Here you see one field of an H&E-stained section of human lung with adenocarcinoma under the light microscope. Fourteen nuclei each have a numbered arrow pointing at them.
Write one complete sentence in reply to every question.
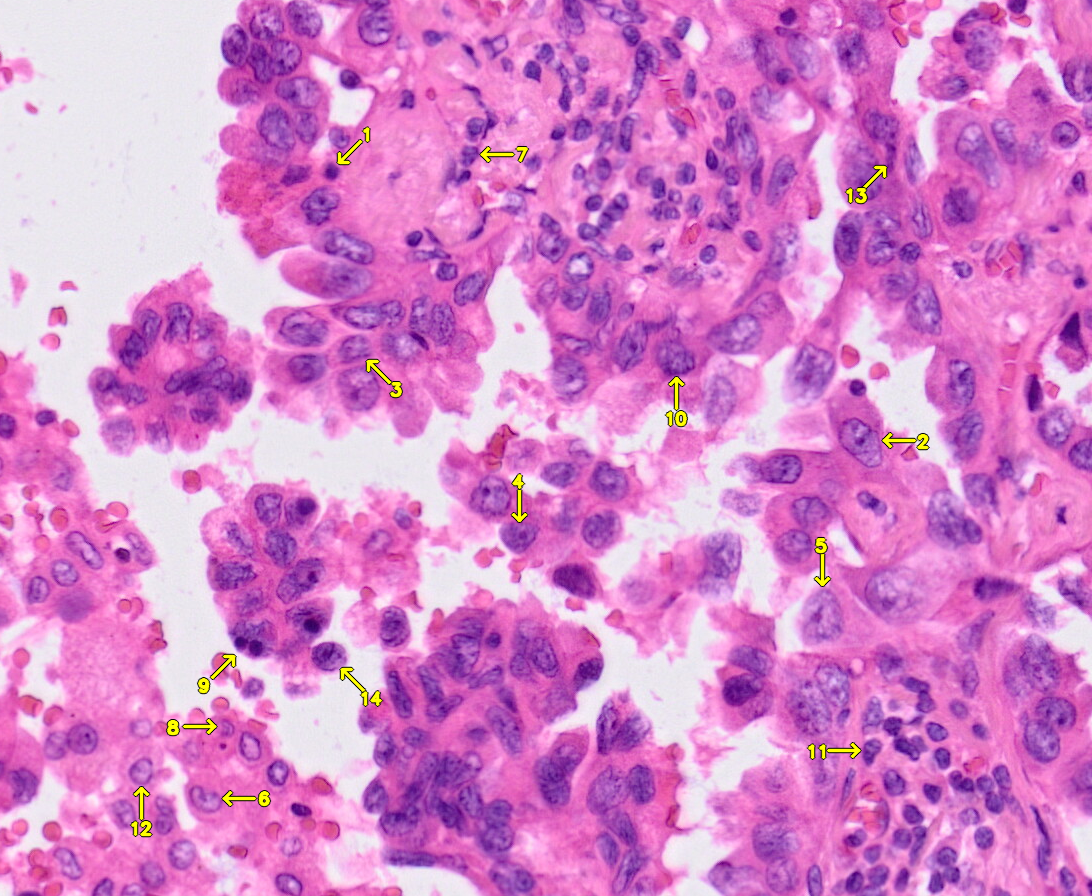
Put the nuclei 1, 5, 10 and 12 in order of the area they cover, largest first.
By area, largest first, they run 5, 10, 12, 1.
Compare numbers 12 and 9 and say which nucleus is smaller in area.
With nucleus 9 about 2.5 times its size, nucleus 12 is the smaller of the two.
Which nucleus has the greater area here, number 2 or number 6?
Nucleus 2 is the larger one, covering about 2.5 times the area of nucleus 6.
